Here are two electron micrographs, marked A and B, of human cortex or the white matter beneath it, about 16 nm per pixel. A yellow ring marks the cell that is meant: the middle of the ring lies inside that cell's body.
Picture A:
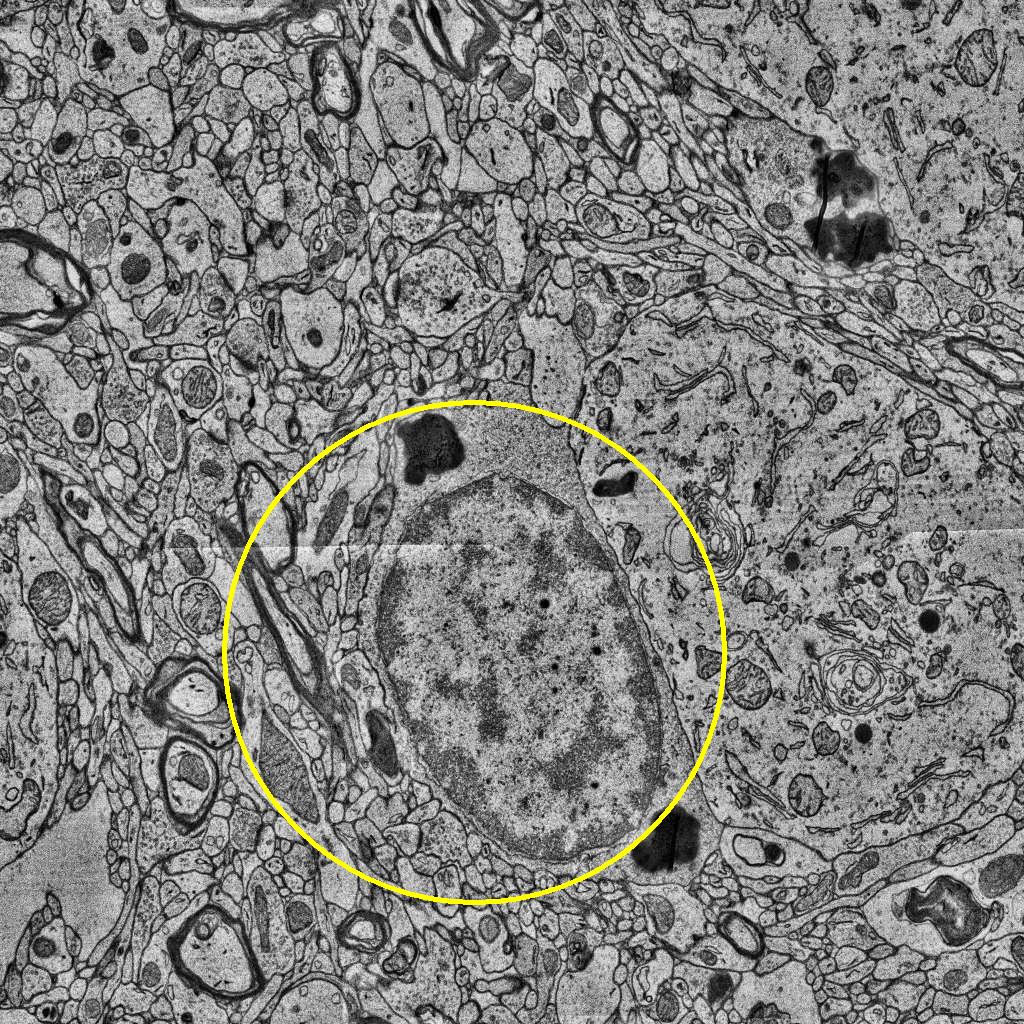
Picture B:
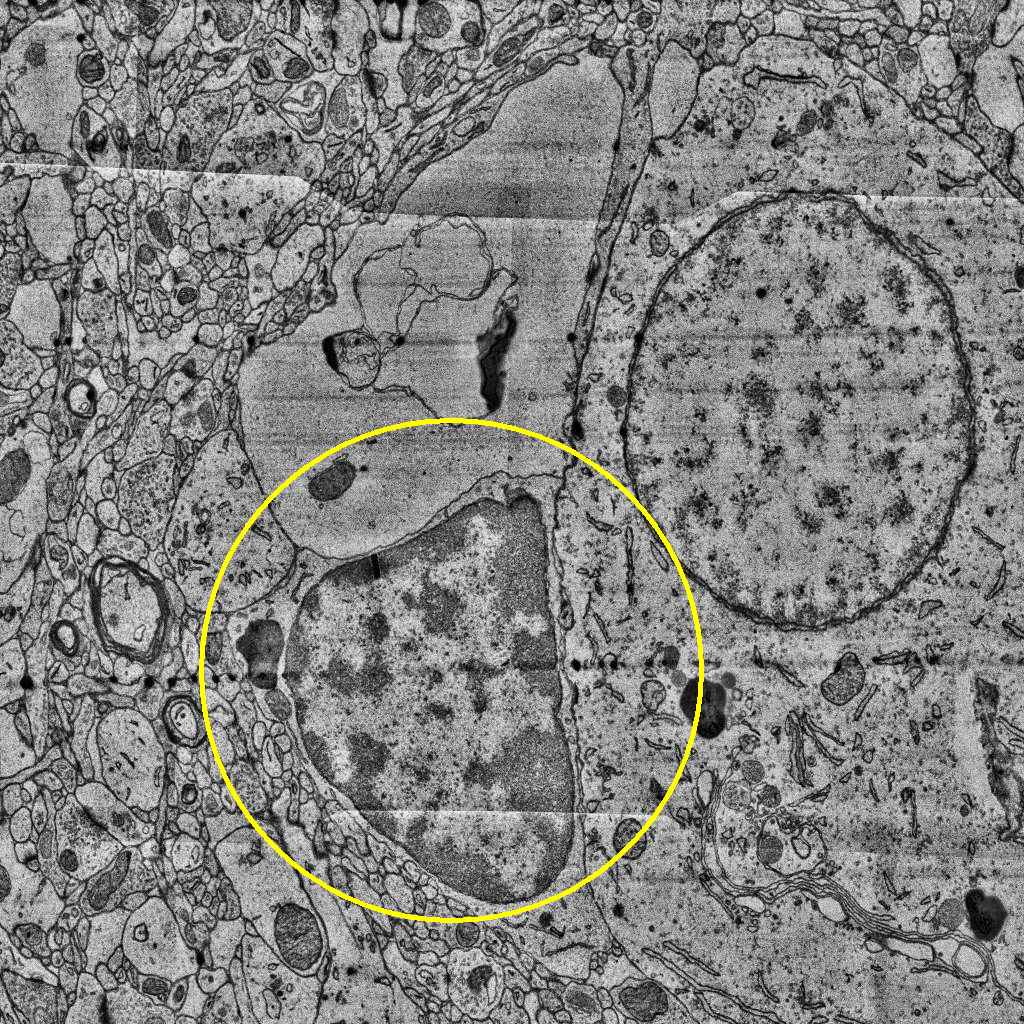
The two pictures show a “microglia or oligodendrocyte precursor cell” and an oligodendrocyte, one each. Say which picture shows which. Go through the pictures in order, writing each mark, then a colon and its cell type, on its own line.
A: oligodendrocyte
B: microglia or oligodendrocyte precursor cell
